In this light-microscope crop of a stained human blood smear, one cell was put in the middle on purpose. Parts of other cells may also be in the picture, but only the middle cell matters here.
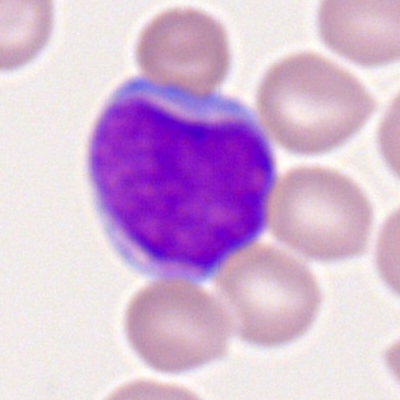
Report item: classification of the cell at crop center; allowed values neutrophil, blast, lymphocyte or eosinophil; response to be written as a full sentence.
By classification, the middle cell of this crop is a blast.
